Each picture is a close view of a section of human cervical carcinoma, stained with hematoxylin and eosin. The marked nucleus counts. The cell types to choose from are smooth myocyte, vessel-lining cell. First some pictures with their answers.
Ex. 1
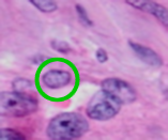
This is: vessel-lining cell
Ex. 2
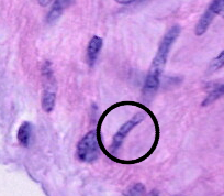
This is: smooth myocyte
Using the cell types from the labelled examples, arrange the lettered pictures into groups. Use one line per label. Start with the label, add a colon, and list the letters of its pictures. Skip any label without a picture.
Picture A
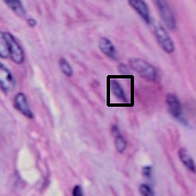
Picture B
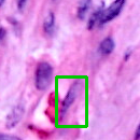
smooth myocyte: A
vessel-lining cell: B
